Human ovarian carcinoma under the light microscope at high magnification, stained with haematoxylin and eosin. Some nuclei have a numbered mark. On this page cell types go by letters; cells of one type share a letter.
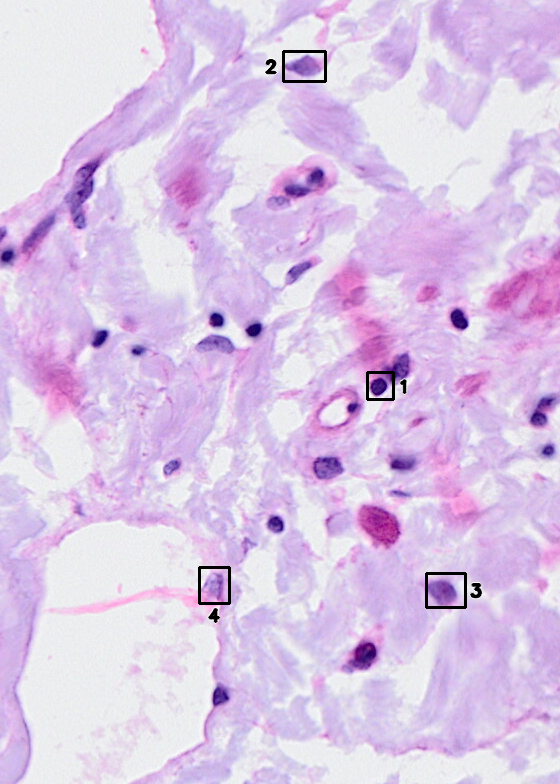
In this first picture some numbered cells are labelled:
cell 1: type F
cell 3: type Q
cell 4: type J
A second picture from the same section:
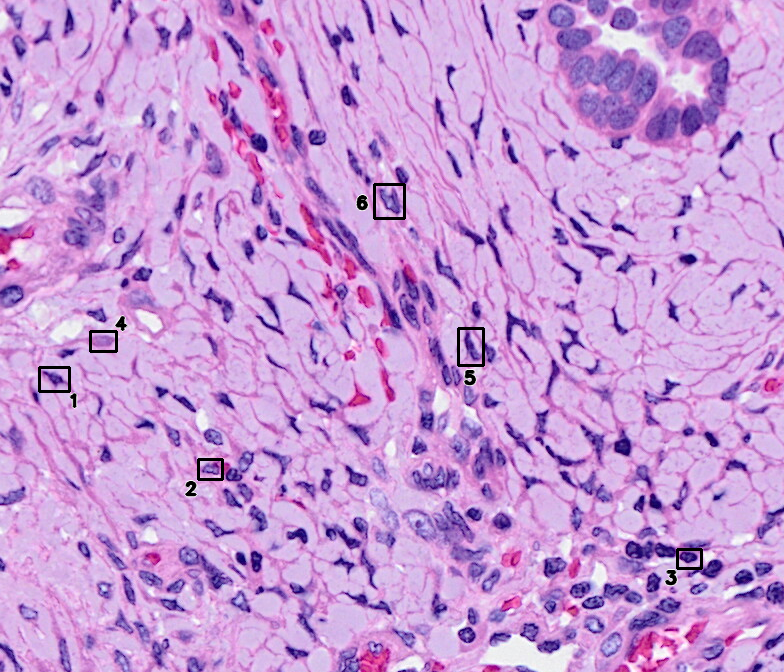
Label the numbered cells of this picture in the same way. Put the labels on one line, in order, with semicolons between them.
type Q; type J; type F; type Q; type Q; type Q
